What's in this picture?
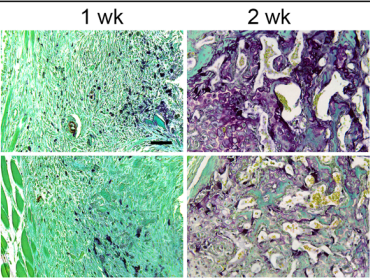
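In two fields the tissue is mainly green and loosely fibrous, made of streaming strands with scattered small, dark purple deposits. In the other two fields the tissue forms an irregular network of interconnected trabecula-like bands enclosing rounded and elongated spaces. Some of these spaces contain yellowish material. Along and within the bands, purple stain is spread through the tissue. In one of these network fields the purple is dense and widespread. In the other it is paler and patchier, and more of the green counterstain shows through.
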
